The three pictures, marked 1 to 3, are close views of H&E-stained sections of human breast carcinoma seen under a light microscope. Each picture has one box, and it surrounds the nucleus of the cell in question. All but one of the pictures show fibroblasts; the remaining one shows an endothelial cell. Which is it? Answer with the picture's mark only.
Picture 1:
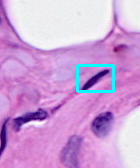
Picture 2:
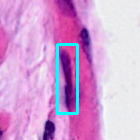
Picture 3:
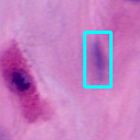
2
